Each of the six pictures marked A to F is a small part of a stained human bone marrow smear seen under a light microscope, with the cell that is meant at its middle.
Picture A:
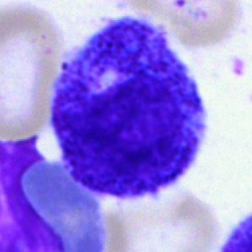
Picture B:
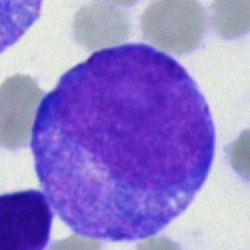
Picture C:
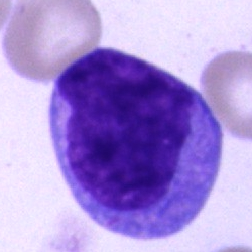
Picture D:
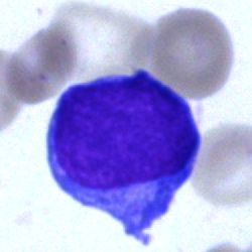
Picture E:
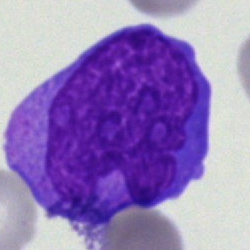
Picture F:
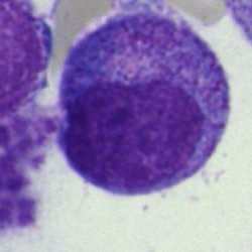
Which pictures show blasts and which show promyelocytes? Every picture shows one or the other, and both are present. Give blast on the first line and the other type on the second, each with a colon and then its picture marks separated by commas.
blast: C, D, E
promyelocyte: A, B, F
